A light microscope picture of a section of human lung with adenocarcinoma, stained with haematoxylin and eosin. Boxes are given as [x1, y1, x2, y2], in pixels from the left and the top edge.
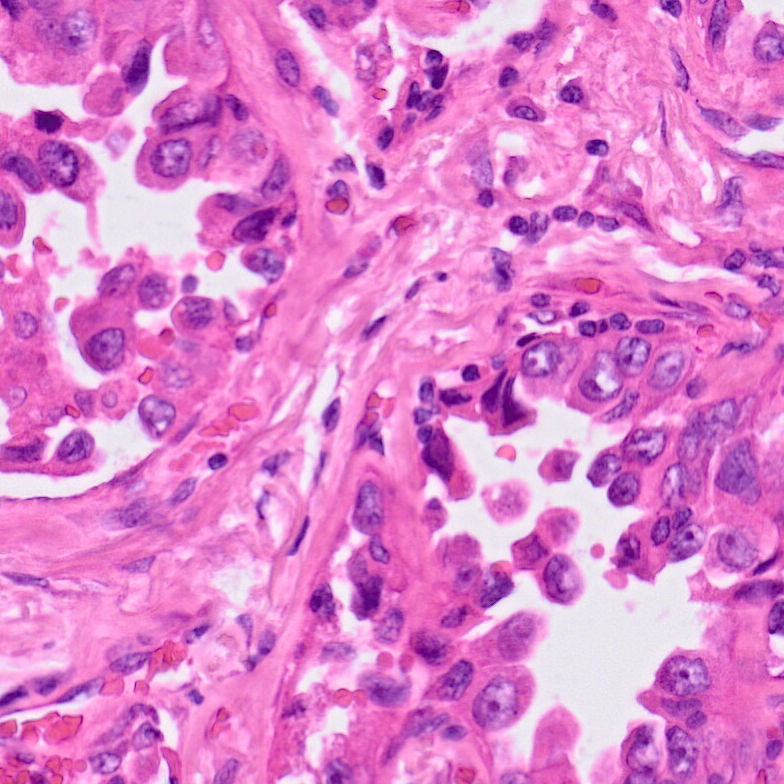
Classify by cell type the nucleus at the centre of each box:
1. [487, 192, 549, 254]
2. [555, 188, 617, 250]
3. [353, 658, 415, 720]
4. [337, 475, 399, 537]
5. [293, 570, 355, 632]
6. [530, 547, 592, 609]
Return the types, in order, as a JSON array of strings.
["lymphocyte", "lymphocyte", "carcinoma cell", "carcinoma cell", "carcinoma cell", "carcinoma cell"]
